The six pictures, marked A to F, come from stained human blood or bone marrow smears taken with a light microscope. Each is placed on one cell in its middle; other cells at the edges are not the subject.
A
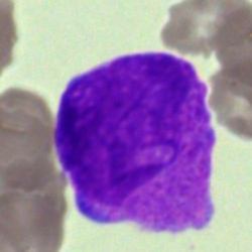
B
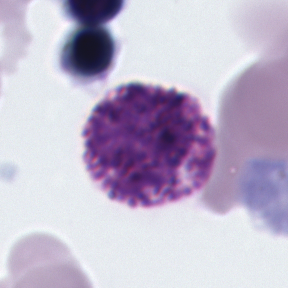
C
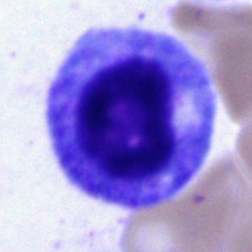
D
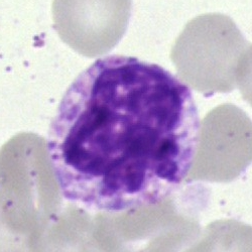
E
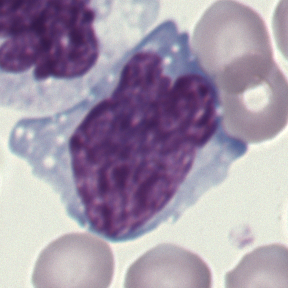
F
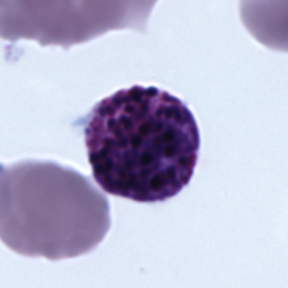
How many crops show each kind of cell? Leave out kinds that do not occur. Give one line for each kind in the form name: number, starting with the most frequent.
basophil: 3
blast: 2
promyelocyte: 1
